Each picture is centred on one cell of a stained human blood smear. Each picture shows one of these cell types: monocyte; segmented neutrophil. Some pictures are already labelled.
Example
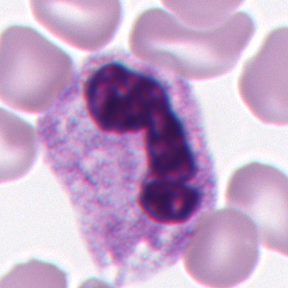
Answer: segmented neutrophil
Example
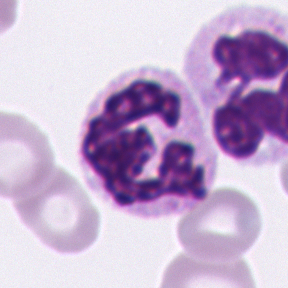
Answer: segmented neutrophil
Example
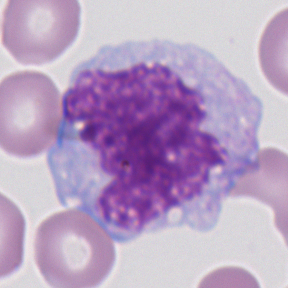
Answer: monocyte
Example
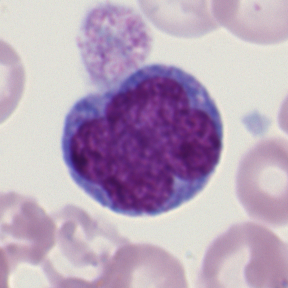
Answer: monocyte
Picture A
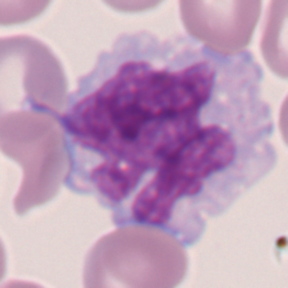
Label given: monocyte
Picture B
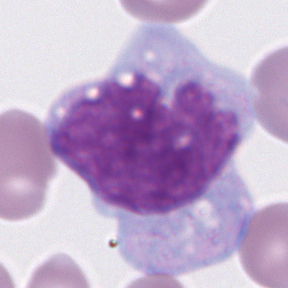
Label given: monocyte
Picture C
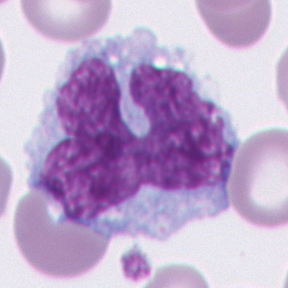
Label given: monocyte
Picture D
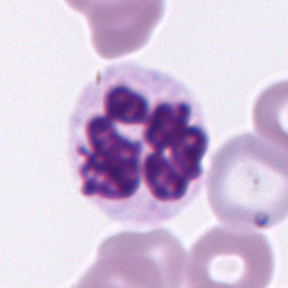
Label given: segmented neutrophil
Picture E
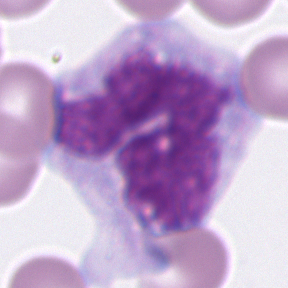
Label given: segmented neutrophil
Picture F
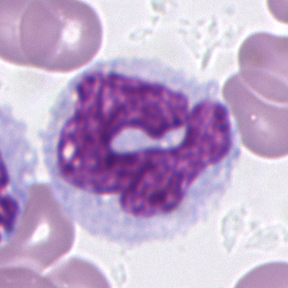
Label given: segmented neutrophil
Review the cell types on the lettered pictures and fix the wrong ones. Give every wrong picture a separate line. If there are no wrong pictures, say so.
E: change segmented neutrophil to monocyte
F: change segmented neutrophil to monocyte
